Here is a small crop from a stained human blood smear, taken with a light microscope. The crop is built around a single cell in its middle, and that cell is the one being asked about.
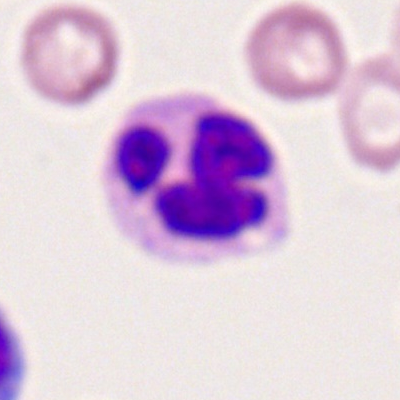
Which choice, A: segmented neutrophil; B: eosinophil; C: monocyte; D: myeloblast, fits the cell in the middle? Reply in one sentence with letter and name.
The cell in the middle is a segmented neutrophil, and so option A is correct.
